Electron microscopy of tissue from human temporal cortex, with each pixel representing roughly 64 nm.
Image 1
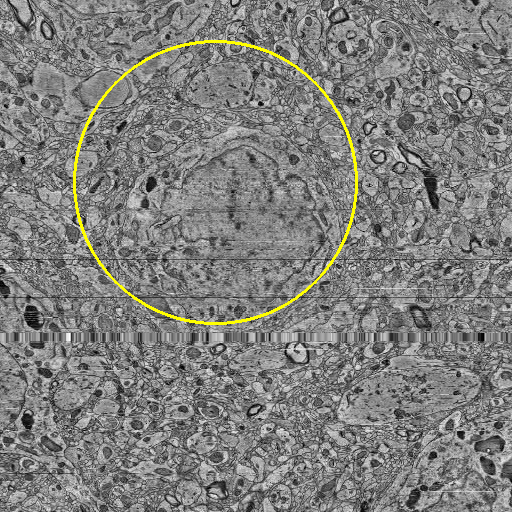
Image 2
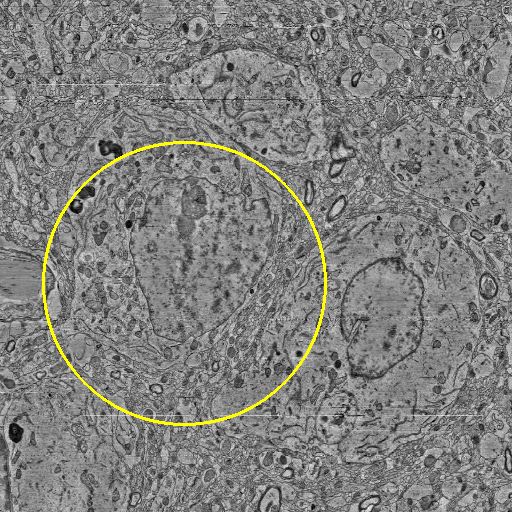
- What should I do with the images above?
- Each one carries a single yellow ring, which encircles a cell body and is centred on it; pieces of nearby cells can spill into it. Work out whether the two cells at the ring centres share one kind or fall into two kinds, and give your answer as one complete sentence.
The ring-centre cells of Image 1 and Image 2 share one kind.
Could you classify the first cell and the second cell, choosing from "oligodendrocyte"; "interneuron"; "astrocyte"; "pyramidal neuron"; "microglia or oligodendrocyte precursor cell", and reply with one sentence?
Each of the ringed cells, first and second, is an interneuron.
